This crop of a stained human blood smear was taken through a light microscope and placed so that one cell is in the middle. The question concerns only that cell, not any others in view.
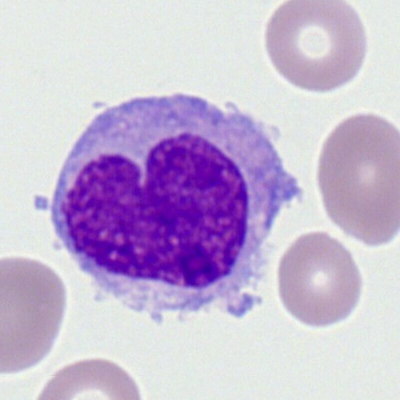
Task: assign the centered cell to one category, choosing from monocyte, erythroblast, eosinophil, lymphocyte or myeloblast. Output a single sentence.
The middle of this crop holds a monocyte.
